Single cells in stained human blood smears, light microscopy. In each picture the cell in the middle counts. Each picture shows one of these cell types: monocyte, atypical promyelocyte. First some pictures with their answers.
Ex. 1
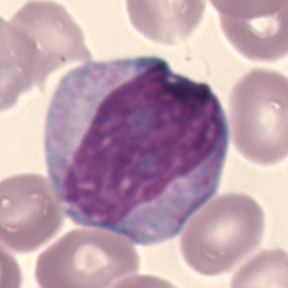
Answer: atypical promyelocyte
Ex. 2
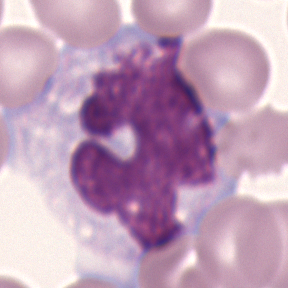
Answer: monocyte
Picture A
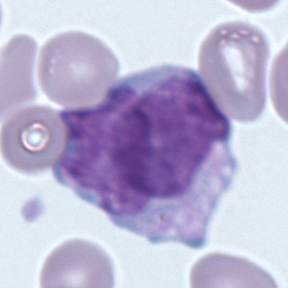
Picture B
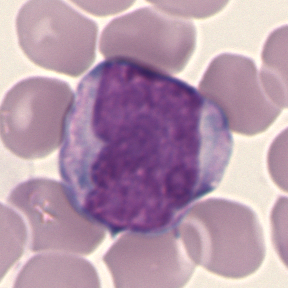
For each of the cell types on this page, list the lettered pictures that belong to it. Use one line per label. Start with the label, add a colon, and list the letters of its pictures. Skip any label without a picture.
atypical promyelocyte: A, B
